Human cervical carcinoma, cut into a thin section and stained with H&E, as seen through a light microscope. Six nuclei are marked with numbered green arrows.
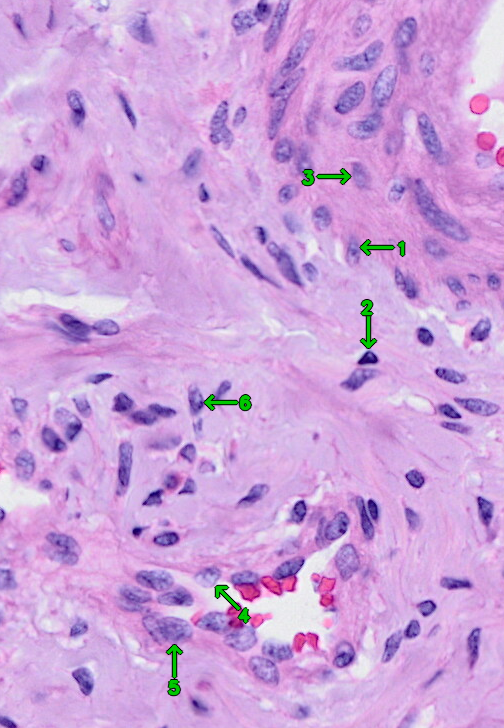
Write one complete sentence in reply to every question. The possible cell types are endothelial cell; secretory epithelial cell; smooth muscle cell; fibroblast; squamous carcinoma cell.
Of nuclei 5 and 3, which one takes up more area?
The larger nucleus is 5, at roughly 2.5 times the area of 3.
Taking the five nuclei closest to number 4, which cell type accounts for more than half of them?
Endothelial cells account for more than half of the five nuclei nearest to number 4.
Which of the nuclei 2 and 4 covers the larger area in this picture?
Nucleus 4 covers more area, about 1.5 times as much as nucleus 2.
